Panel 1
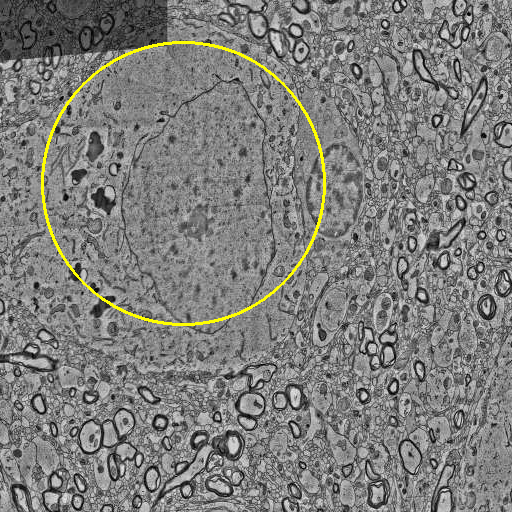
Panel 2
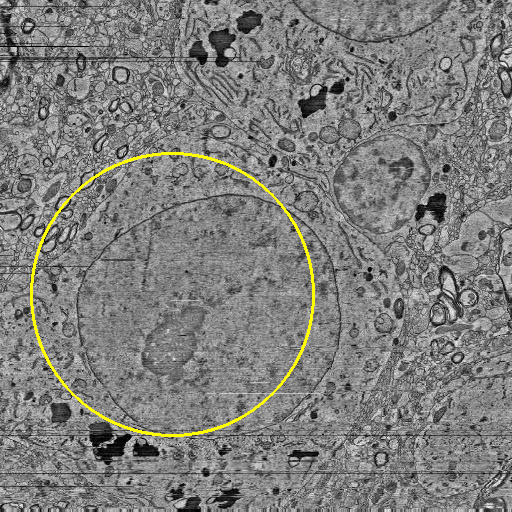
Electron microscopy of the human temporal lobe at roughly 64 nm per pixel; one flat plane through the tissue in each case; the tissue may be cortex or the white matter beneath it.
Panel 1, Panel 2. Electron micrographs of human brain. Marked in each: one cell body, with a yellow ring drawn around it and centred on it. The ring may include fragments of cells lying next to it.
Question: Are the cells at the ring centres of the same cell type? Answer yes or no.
yes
